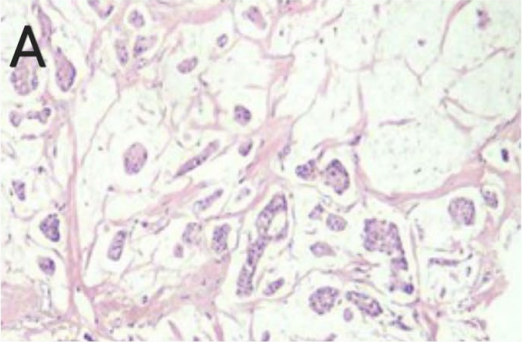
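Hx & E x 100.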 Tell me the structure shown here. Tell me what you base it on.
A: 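Most of the field is pale, nearly empty extracellular material. Small clusters of purple-nucleated cells lie scattered within it. Thin pink fibrous strands cross the pale areas. The answer: pools of mucin.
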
